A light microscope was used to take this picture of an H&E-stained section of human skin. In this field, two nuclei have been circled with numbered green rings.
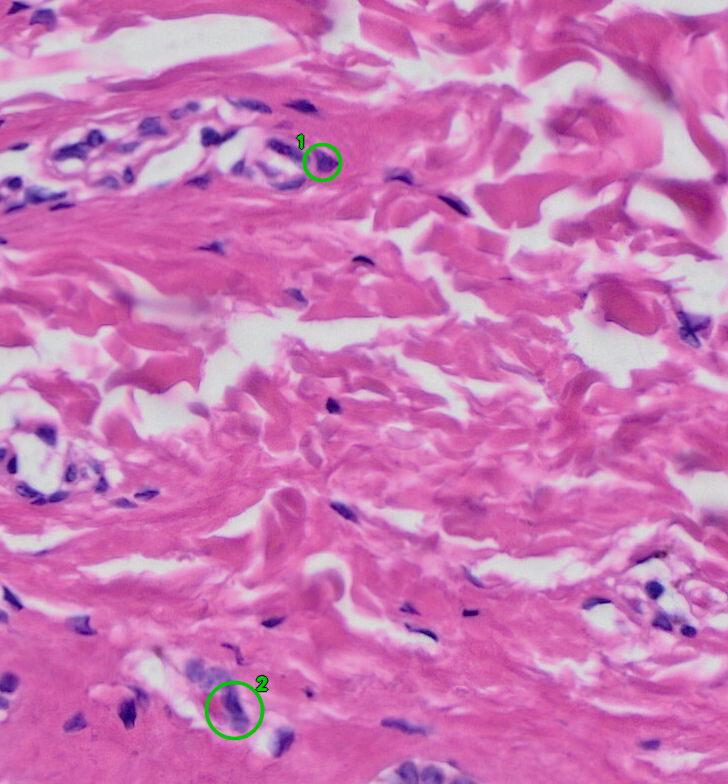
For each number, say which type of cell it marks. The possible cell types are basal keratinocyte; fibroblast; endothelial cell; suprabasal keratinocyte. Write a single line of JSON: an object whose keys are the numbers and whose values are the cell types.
{"1": "fibroblast", "2": "endothelial cell"}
